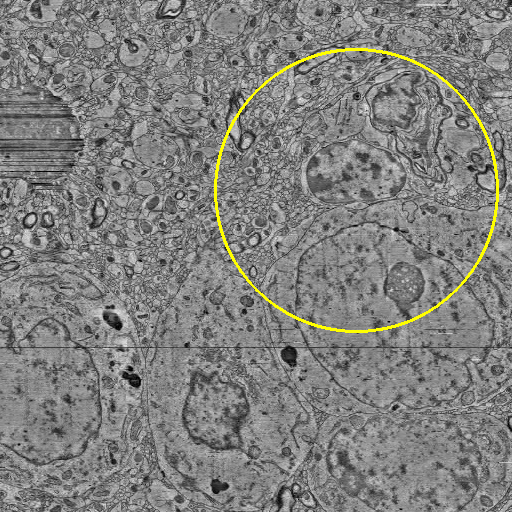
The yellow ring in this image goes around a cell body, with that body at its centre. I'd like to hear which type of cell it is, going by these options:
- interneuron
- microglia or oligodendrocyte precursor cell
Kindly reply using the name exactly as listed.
microglia or oligodendrocyte precursor cell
